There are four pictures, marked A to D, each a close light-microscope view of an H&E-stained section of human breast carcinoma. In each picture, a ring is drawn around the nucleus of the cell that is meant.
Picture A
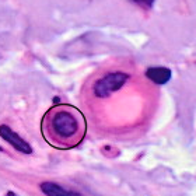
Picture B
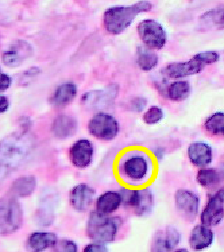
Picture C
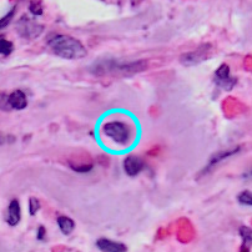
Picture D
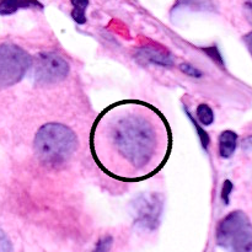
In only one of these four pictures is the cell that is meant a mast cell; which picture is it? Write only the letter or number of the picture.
A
